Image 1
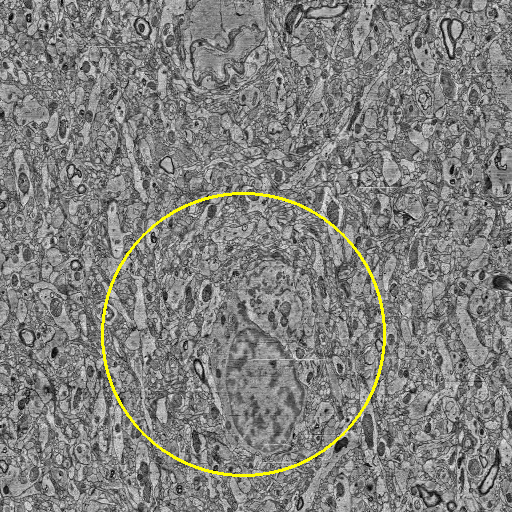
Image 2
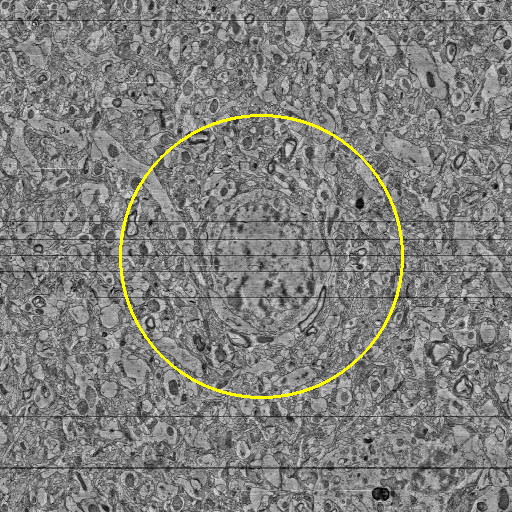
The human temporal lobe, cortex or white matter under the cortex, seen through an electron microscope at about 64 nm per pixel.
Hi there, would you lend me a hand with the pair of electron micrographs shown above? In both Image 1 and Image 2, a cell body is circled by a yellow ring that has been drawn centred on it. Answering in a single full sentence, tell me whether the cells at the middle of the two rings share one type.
No, the ringed cells in Image 1 and Image 2 belong to two types.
